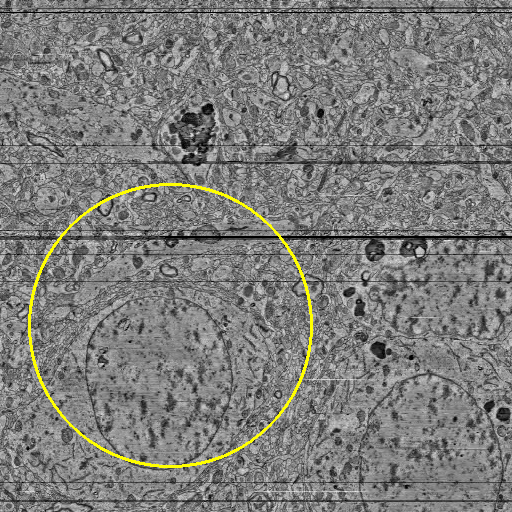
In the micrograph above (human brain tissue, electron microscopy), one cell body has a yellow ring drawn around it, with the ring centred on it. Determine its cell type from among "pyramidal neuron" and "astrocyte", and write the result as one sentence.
The cell whose body is ringed is a pyramidal neuron.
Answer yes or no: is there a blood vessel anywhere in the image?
No.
